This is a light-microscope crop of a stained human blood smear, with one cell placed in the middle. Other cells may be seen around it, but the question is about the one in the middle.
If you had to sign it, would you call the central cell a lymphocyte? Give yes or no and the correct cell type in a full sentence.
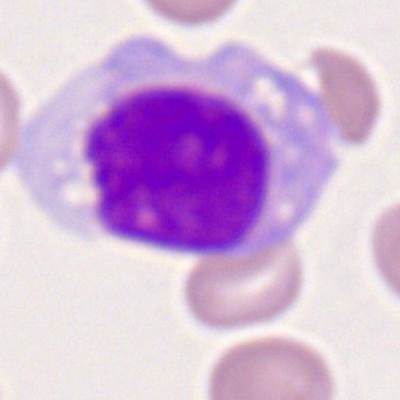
No, the central cell is reported as a monocyte rather than as a lymphocyte.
